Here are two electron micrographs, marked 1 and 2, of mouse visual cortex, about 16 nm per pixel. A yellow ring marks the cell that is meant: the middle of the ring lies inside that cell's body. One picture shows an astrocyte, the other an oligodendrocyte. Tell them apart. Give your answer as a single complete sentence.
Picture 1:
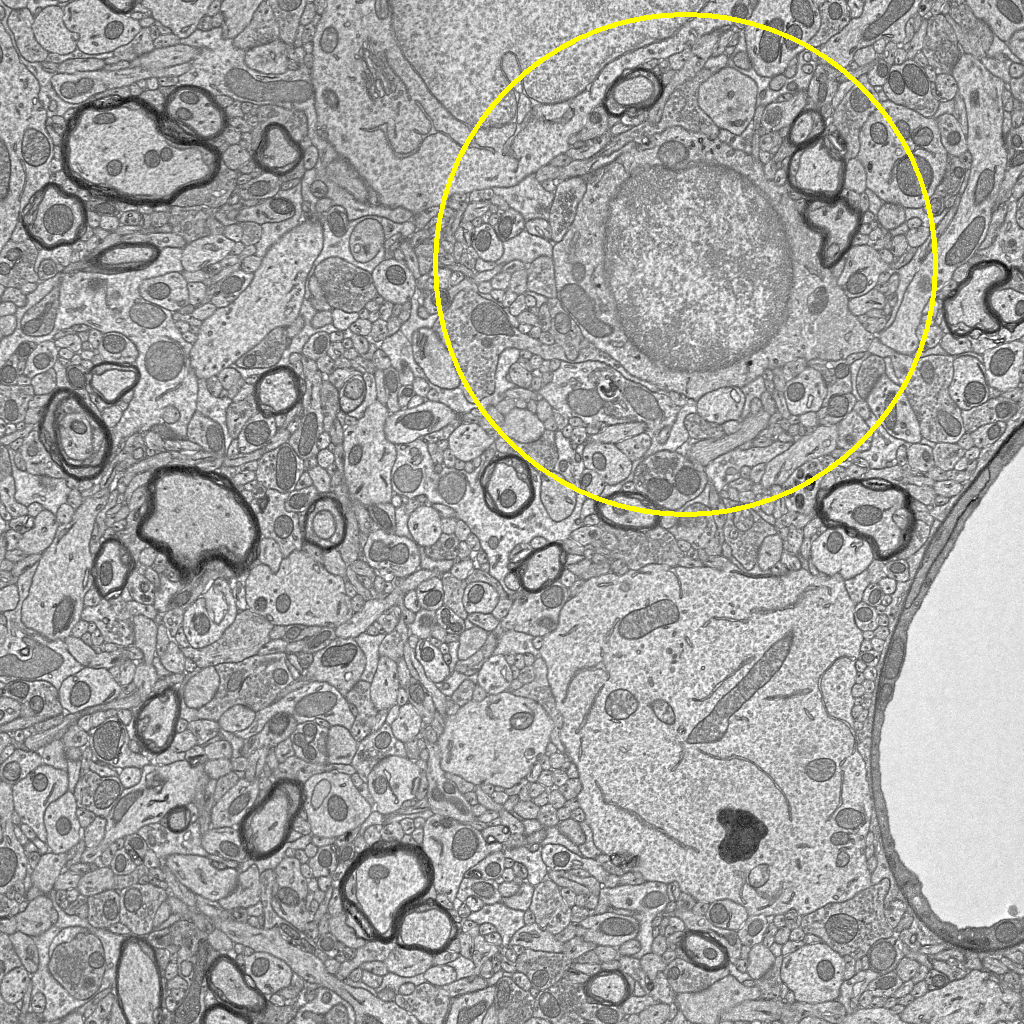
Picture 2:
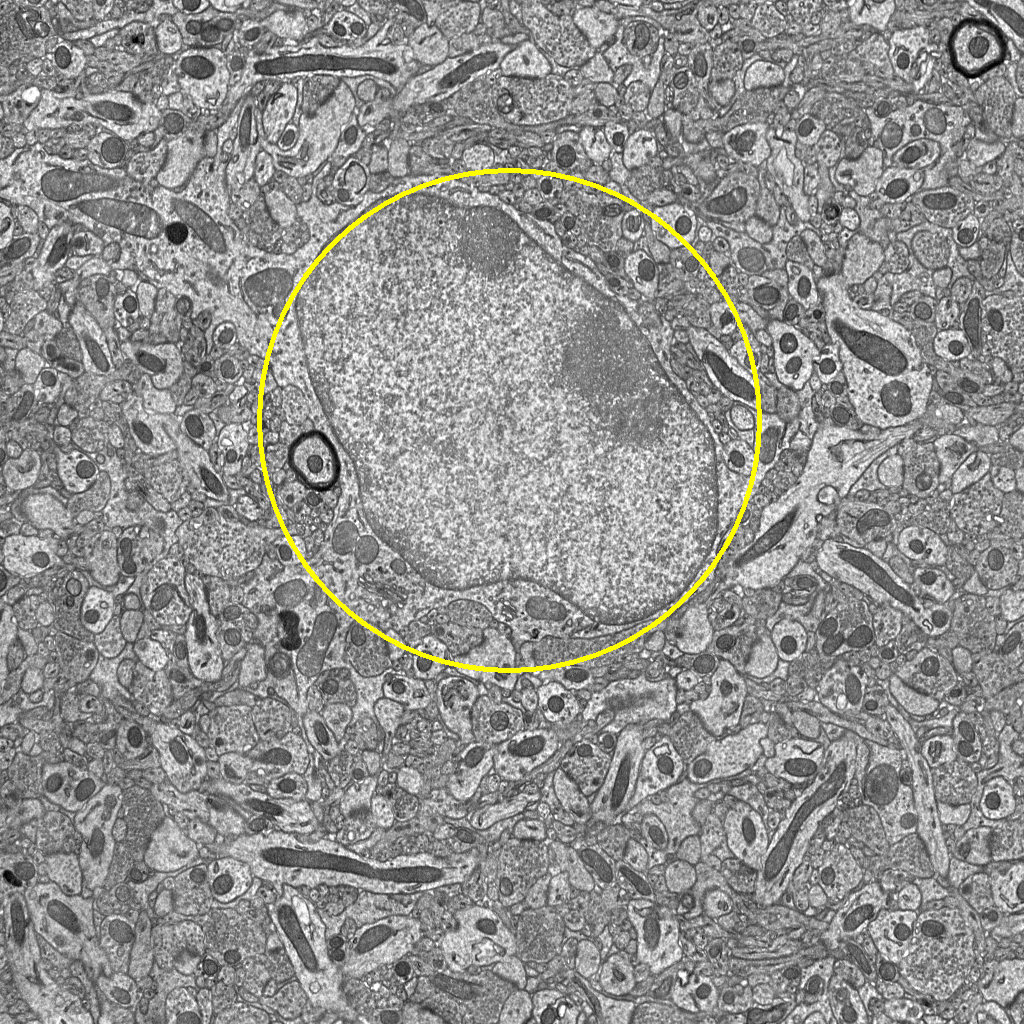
Picture 1 shows an oligodendrocyte and picture 2 shows an astrocyte.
